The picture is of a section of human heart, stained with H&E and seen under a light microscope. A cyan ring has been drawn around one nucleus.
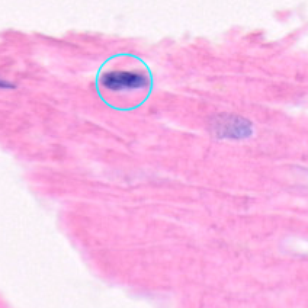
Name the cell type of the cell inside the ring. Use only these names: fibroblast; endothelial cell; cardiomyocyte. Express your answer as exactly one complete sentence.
In the context of this tissue, the cell inside the ring is an endothelial cell.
